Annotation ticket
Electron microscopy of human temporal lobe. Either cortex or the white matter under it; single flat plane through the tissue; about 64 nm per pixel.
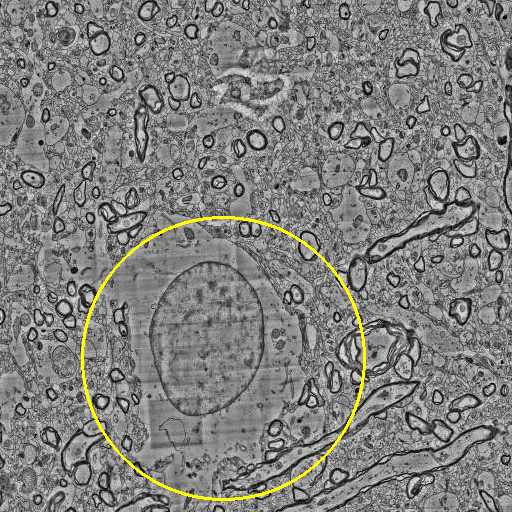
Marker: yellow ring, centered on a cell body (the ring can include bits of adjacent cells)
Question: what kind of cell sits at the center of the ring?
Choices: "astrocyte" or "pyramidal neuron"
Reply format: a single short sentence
The ring is centered on an astrocyte.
